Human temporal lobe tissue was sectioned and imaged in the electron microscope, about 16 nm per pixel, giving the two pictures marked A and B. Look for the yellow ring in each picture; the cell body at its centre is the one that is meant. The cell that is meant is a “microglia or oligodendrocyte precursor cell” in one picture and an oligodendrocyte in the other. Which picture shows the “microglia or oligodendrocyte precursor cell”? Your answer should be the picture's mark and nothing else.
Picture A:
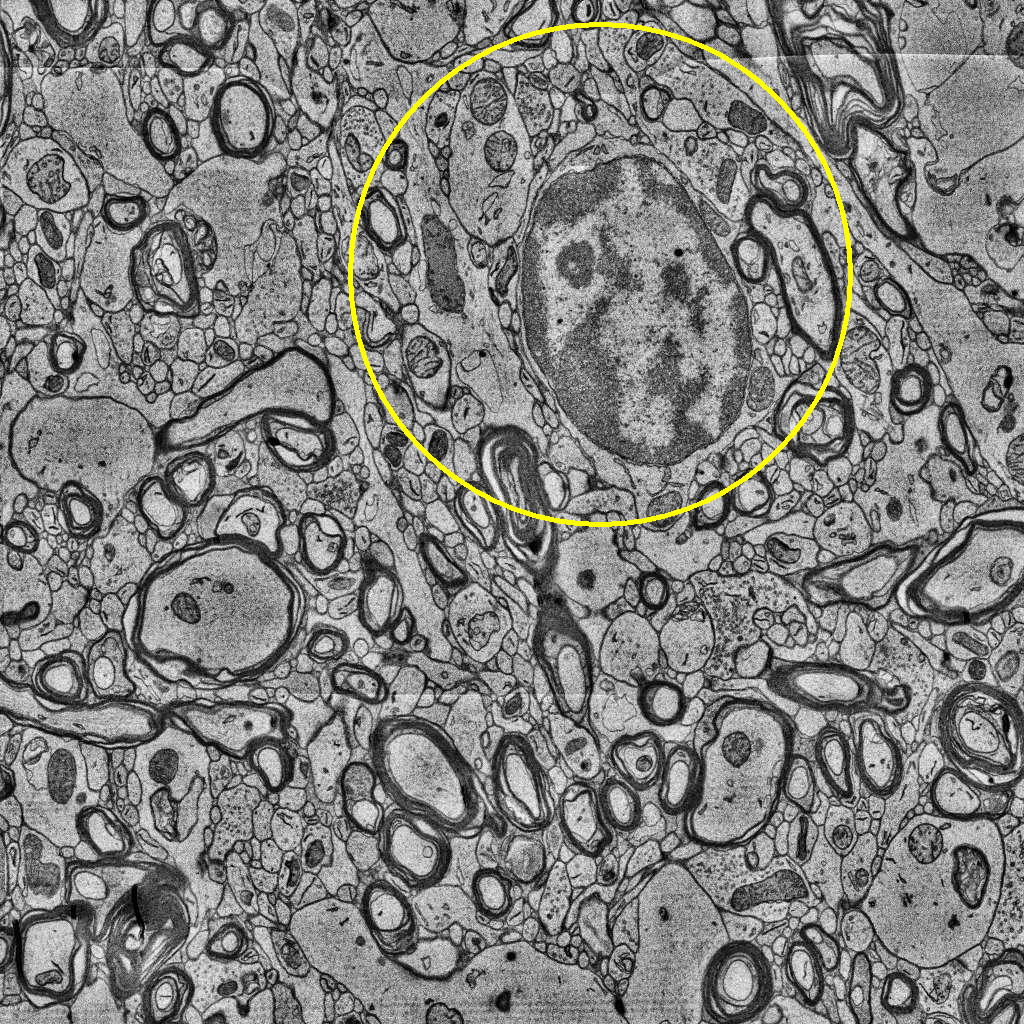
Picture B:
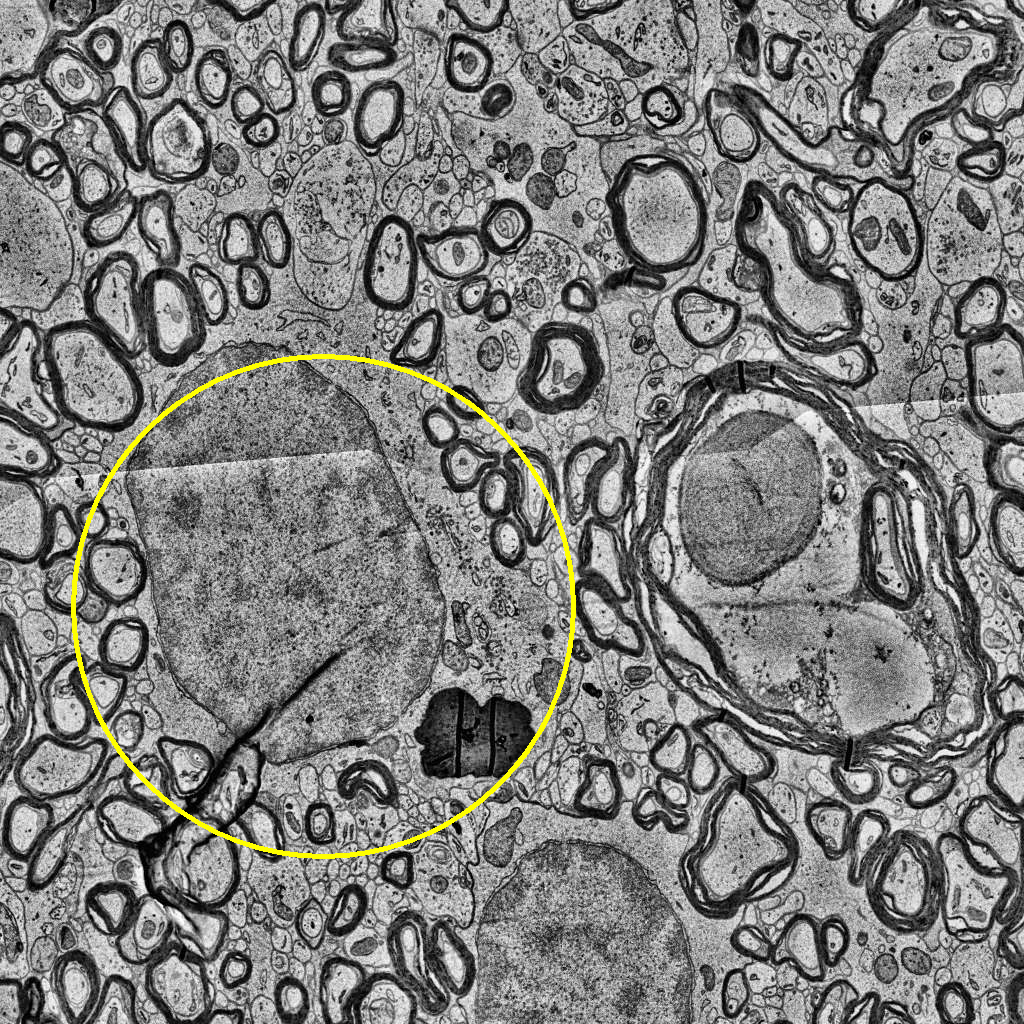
A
